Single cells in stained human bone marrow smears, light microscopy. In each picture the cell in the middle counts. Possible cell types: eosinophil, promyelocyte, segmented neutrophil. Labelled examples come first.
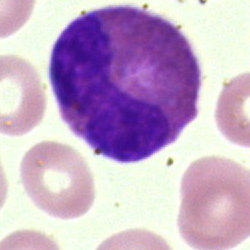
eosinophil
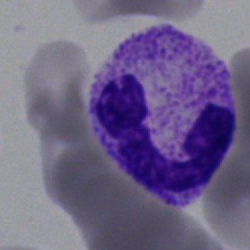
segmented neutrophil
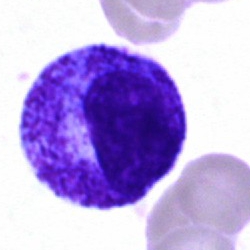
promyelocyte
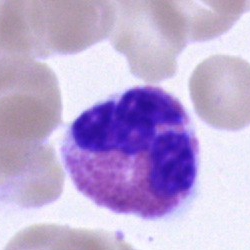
eosinophil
